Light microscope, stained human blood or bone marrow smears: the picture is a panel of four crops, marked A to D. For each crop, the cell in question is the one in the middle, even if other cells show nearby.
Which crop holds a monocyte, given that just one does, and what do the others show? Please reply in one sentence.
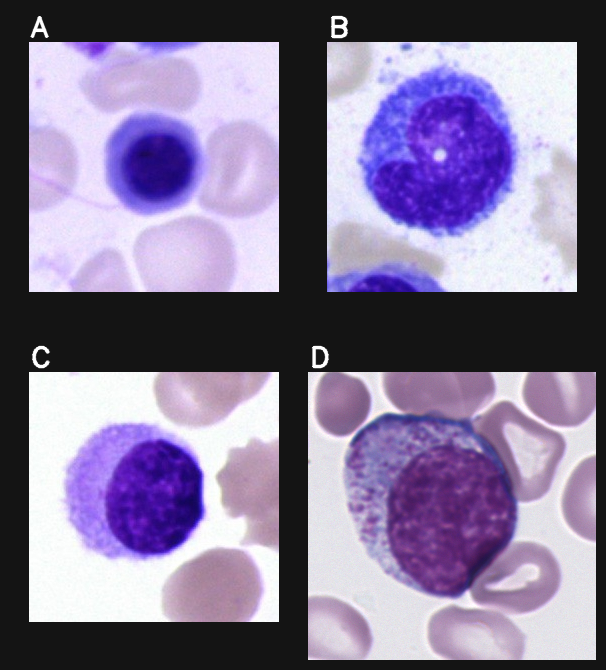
On inspection, crop B shows a monocyte, while crop A is an erythroblast, crop C is a hairy cell and crop D is a promyelocyte.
